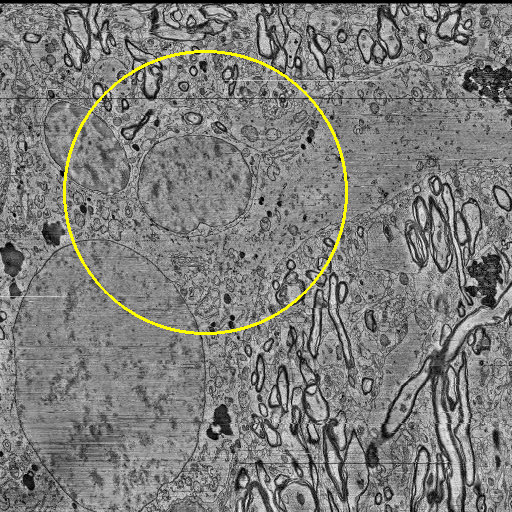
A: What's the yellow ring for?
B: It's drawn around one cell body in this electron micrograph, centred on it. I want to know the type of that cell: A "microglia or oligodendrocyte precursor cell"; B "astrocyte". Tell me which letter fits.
A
